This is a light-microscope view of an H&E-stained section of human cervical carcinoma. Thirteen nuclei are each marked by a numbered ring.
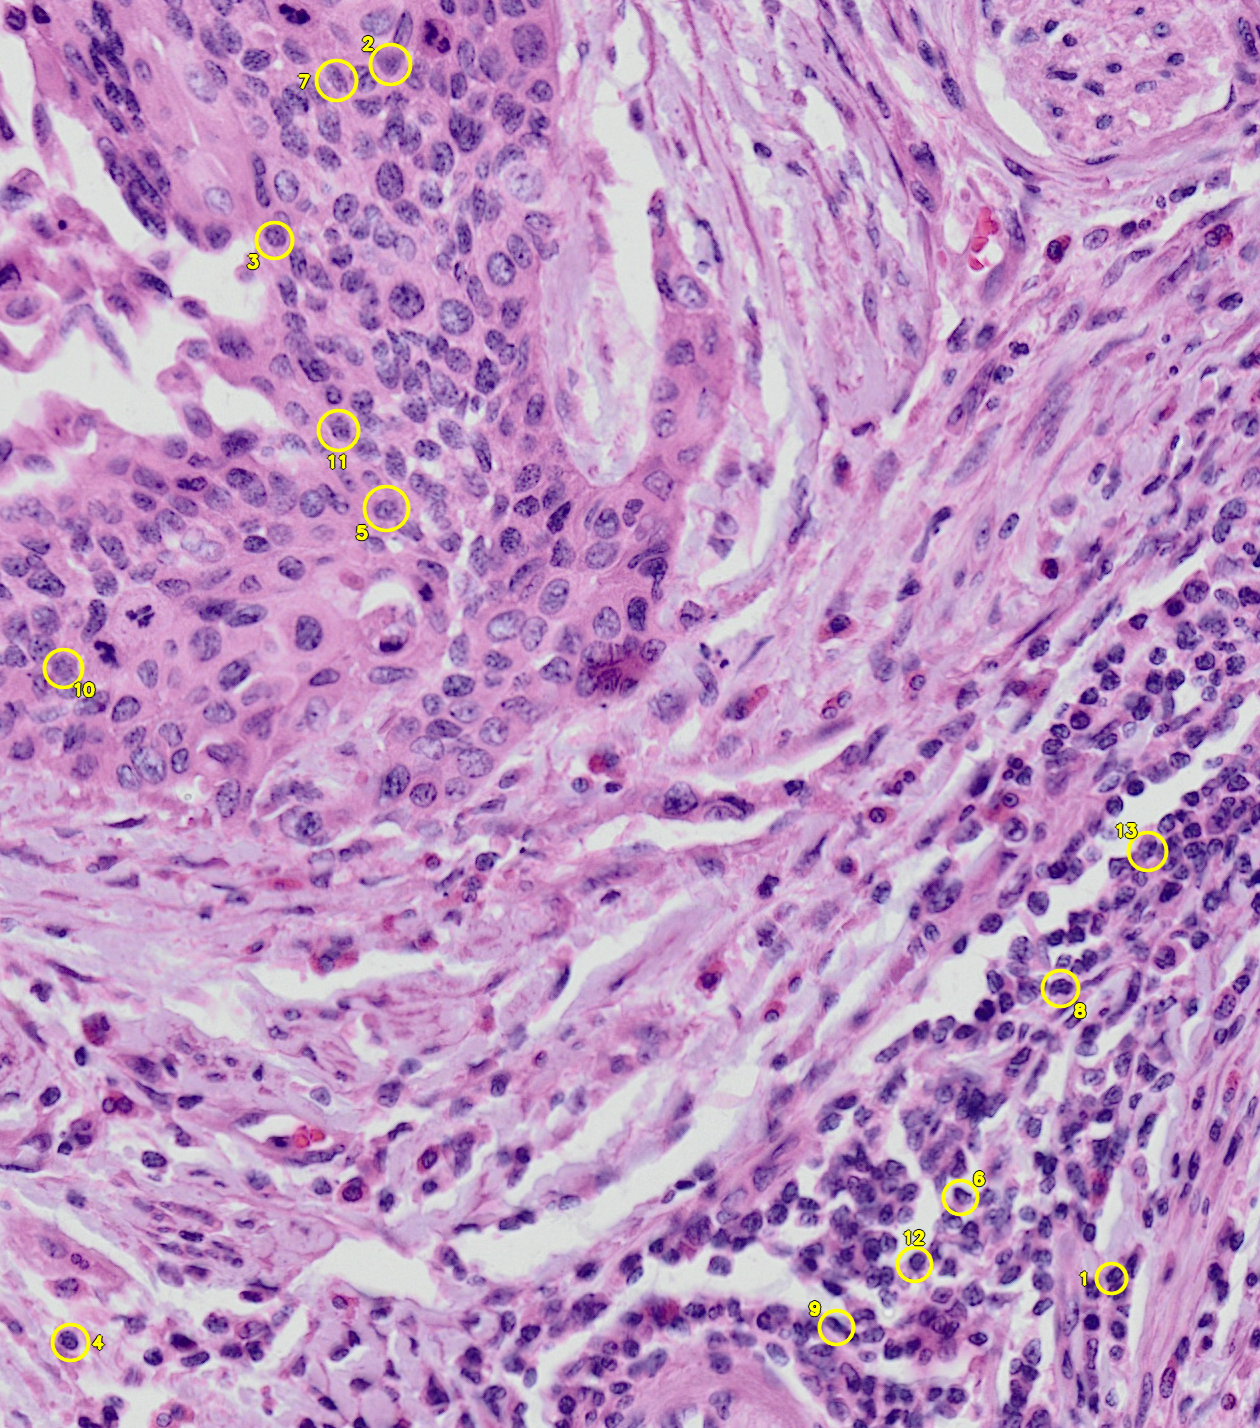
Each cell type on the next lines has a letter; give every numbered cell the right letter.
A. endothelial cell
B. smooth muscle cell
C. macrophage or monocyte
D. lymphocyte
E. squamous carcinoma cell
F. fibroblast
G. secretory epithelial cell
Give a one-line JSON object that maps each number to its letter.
{"1": "D", "2": "E", "3": "E", "4": "D", "5": "E", "6": "D", "7": "E", "8": "D", "9": "D", "10": "E", "11": "E", "12": "D", "13": "D"}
